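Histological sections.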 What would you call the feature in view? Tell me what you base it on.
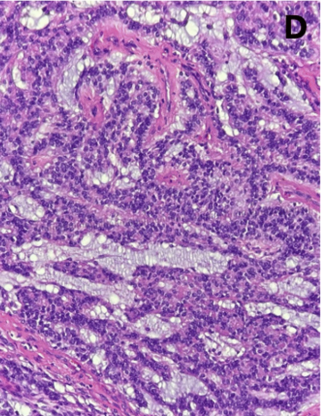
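Cells with dark nuclei are arranged in elongated strands and bands. Pale matrix separates the strands.
Answer: Cords and trabeculae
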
